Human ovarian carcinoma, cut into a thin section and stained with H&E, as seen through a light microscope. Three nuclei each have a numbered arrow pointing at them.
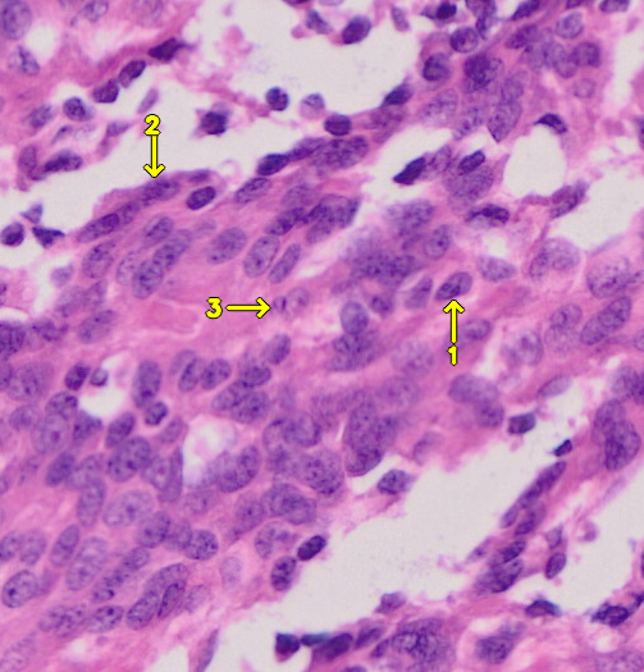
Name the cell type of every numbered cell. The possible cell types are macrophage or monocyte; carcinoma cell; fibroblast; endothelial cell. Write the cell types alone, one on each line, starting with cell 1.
macrophage or monocyte
carcinoma cell
endothelial cell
